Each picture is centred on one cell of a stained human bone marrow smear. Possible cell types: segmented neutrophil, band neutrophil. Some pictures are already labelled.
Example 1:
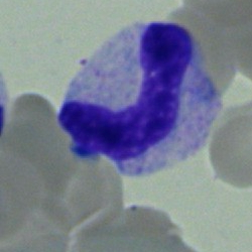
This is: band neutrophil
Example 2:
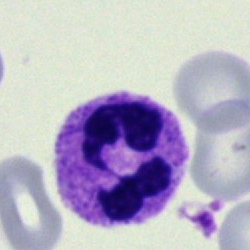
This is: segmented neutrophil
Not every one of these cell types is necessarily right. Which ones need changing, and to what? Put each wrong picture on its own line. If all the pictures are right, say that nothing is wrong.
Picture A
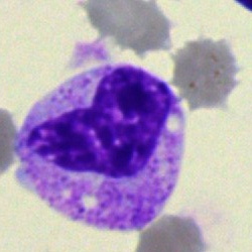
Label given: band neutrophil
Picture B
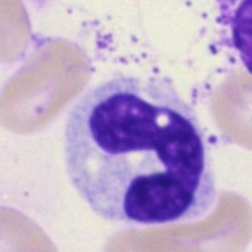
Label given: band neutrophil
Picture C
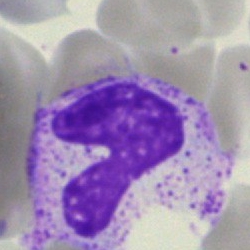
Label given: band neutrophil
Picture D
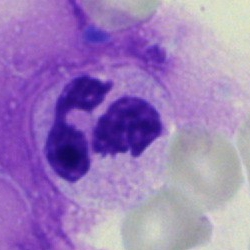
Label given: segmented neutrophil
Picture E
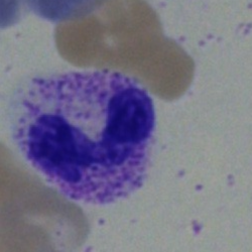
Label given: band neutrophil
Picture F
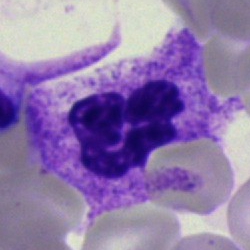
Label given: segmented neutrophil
All correct.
